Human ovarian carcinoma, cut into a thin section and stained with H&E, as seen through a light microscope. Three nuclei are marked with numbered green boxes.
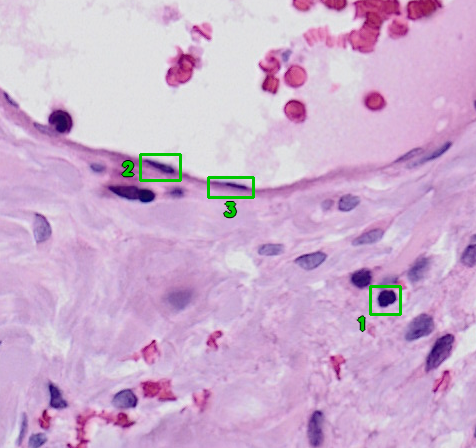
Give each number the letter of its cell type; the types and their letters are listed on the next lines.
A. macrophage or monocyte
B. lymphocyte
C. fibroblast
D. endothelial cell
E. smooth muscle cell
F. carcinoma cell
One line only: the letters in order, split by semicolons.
B; D; D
